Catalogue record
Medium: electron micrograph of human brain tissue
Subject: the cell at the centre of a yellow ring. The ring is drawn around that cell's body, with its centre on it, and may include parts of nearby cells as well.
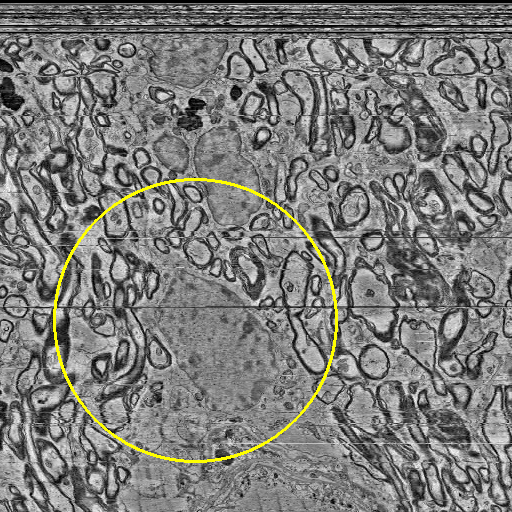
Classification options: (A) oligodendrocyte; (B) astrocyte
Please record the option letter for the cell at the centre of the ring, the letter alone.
B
